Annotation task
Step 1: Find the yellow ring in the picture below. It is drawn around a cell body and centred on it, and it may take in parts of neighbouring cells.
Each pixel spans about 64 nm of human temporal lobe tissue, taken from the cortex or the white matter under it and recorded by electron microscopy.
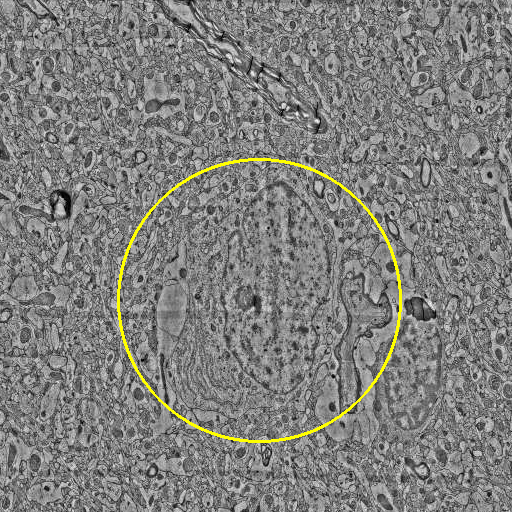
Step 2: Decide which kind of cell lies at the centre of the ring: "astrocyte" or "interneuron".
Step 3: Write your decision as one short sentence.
The kind of cell at the ring's centre is an interneuron.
